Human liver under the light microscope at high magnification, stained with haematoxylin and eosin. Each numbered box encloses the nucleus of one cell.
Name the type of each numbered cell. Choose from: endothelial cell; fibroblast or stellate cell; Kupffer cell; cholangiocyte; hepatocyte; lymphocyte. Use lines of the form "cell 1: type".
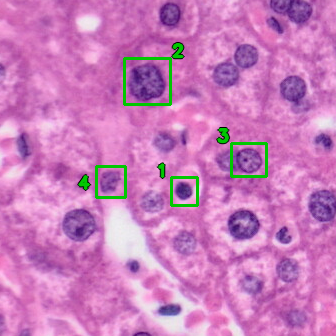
cell 1: lymphocyte
cell 2: hepatocyte
cell 3: hepatocyte
cell 4: endothelial cell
